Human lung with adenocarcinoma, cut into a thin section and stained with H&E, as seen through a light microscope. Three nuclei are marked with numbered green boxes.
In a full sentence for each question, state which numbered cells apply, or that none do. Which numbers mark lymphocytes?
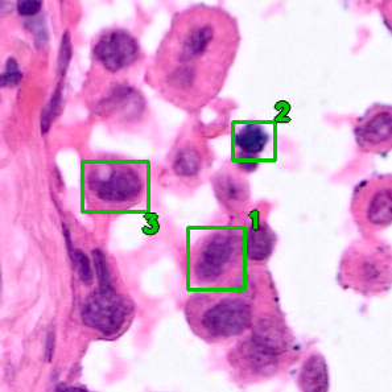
Of those with numbers, only cell 2 is a lymphocyte.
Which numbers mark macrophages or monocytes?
No macrophages or monocytes are present among the cells marked with numbers.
